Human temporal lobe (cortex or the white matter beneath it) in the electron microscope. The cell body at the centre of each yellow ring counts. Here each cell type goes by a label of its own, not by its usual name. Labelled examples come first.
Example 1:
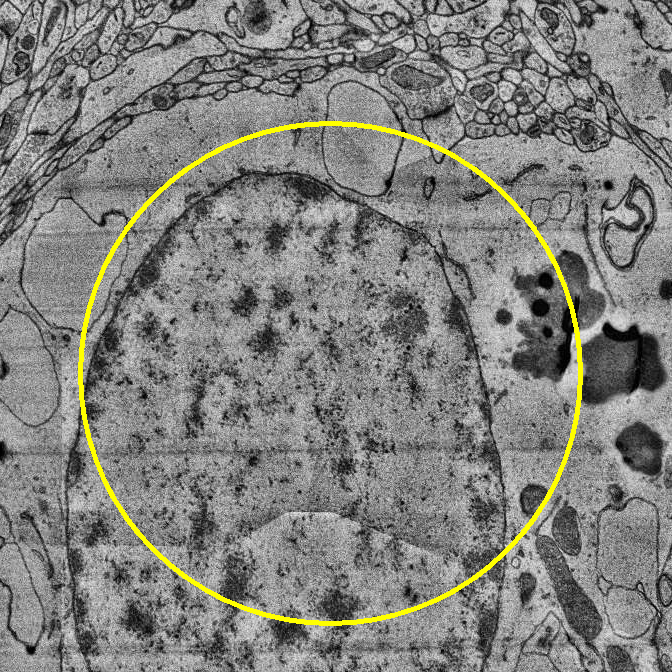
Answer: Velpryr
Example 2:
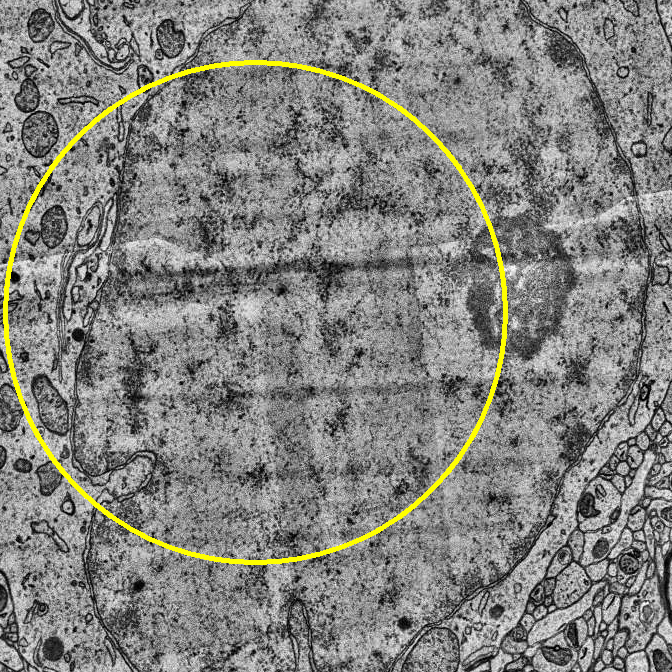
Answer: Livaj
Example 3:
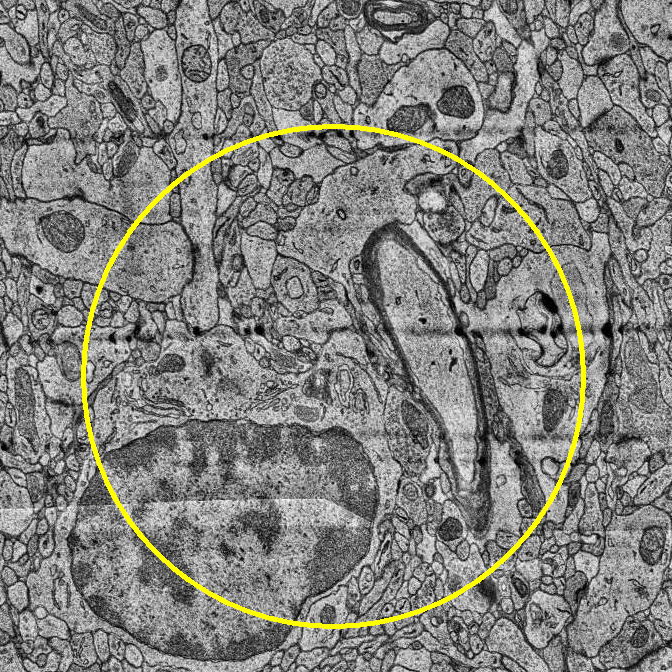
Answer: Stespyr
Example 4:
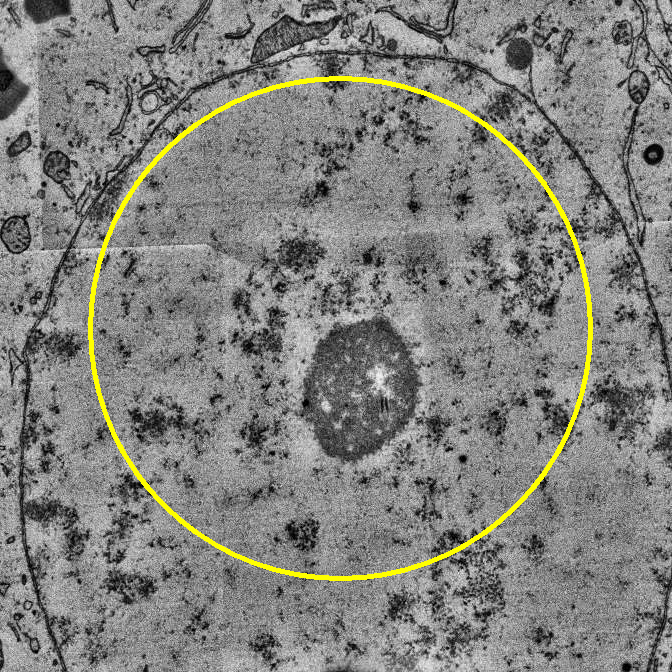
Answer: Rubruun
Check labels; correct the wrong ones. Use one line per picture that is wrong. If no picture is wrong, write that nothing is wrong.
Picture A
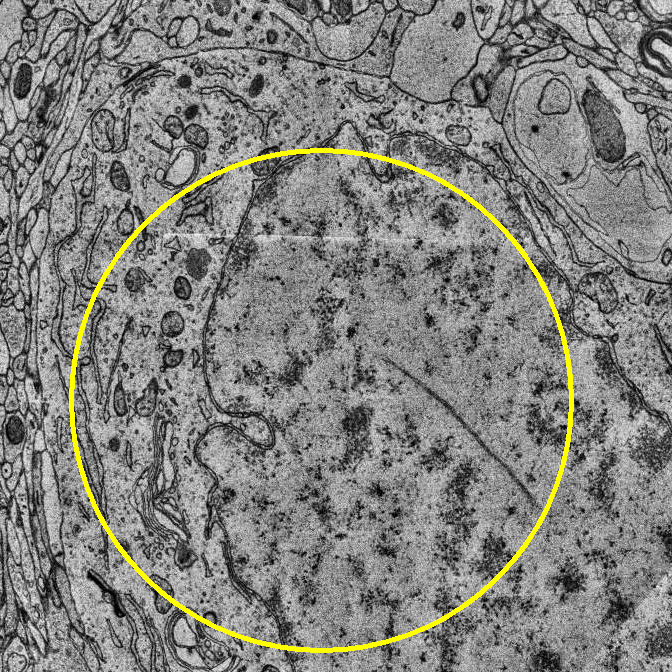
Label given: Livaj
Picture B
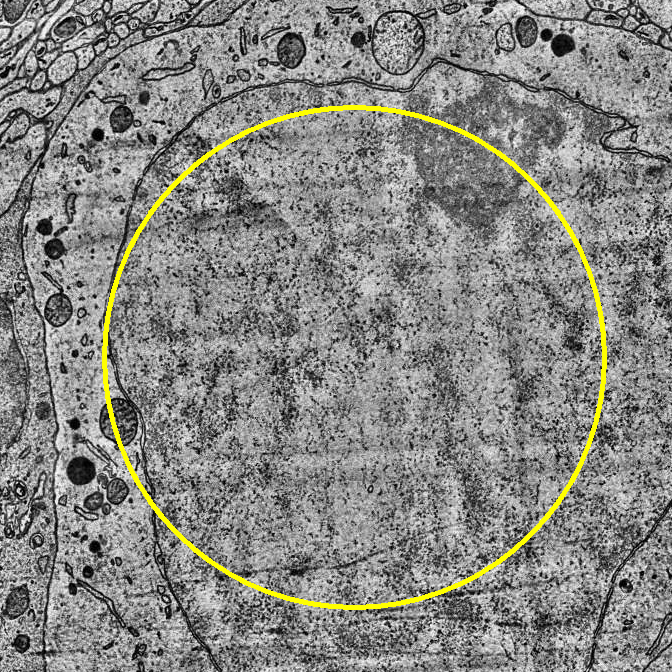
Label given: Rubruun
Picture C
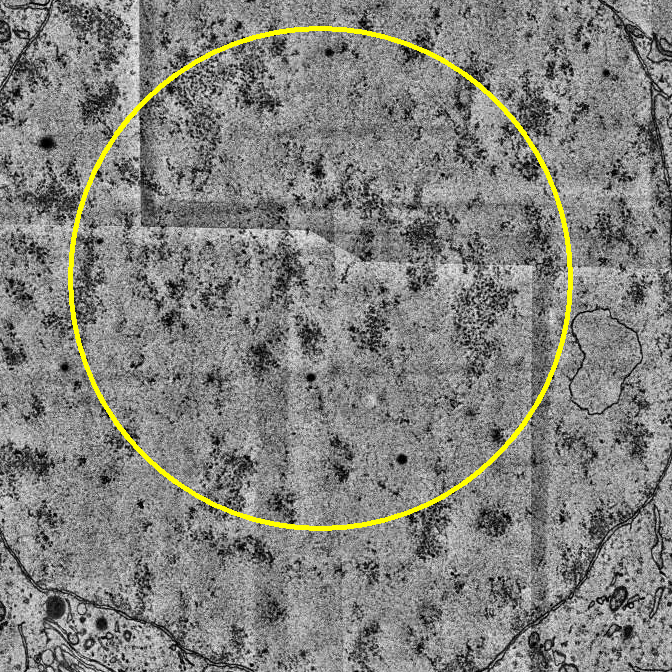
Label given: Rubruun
All labels are correct.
